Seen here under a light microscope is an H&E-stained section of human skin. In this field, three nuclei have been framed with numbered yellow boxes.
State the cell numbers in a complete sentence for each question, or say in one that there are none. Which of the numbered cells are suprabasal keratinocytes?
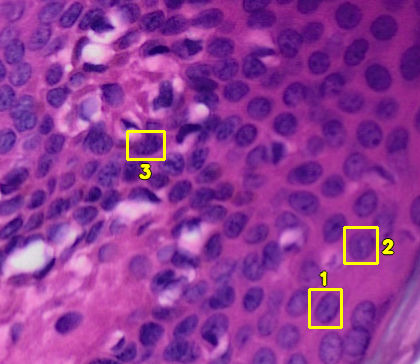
Cells 1 and 2 are suprabasal keratinocytes by cell type.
